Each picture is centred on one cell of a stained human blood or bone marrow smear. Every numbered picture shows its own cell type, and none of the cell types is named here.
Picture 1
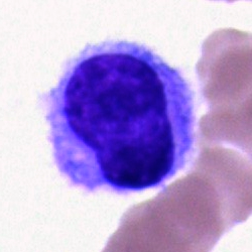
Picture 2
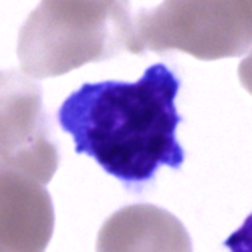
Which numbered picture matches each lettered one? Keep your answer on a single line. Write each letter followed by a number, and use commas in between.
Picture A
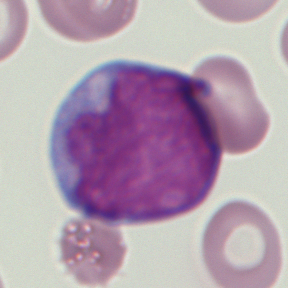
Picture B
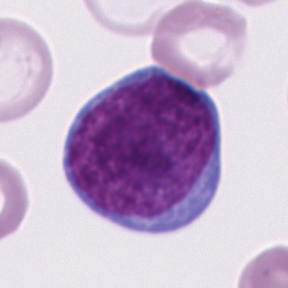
A 2, B 2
